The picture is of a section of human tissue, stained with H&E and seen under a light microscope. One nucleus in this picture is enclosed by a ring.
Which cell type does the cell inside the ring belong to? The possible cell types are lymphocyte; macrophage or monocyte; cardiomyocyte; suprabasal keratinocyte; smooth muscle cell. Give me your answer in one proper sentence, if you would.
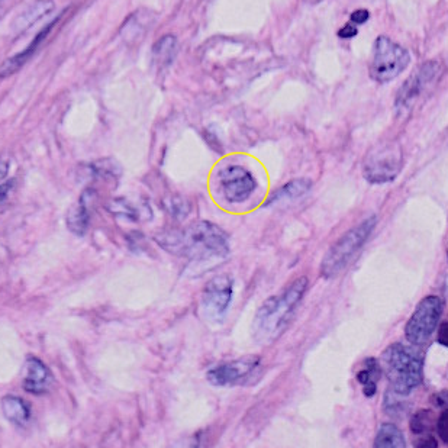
Assigned to a cell type, the cell inside the ring is a macrophage or monocyte.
